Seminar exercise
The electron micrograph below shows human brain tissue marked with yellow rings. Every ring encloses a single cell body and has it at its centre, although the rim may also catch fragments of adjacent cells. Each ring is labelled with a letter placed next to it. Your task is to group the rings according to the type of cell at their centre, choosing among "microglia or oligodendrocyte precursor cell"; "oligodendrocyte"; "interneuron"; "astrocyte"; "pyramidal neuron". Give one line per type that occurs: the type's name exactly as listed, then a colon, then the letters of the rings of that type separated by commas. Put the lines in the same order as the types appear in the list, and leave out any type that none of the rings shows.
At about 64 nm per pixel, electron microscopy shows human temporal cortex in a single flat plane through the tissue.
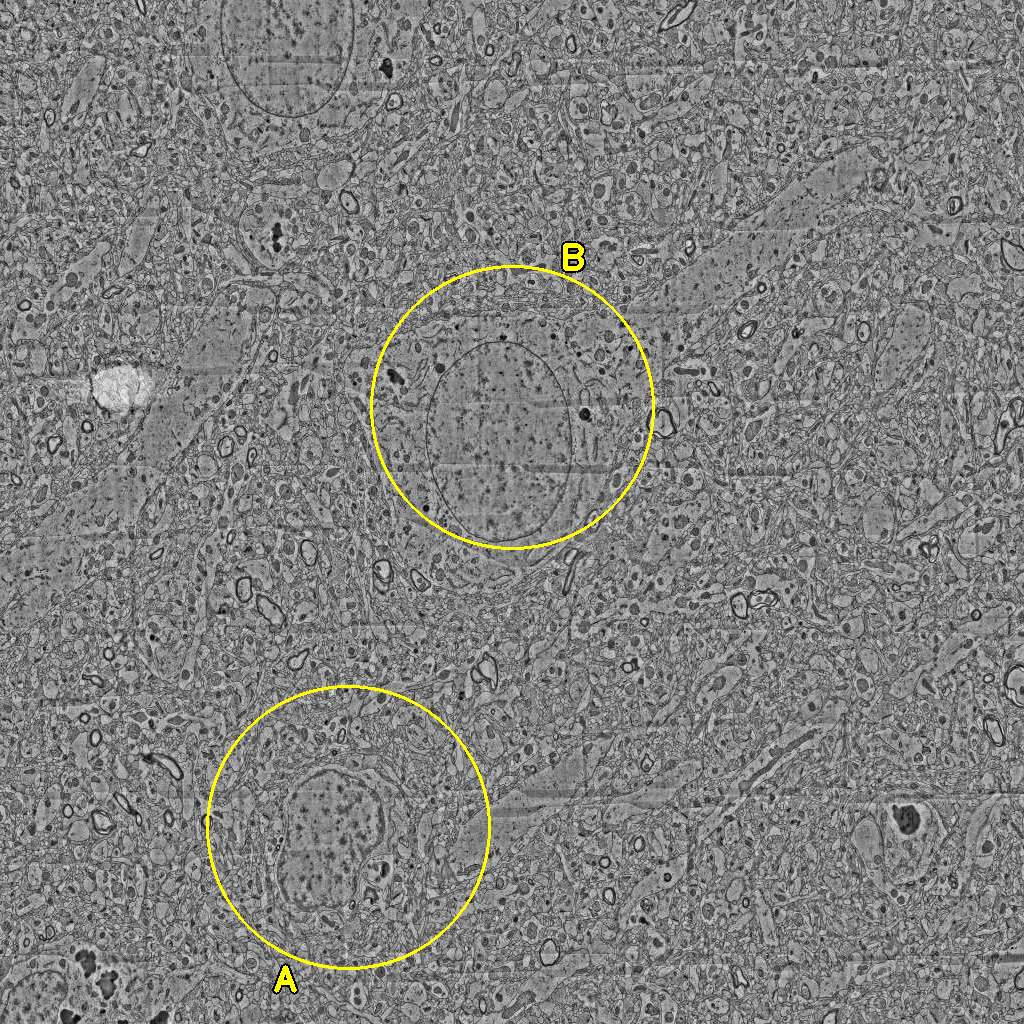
interneuron: A
pyramidal neuron: B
